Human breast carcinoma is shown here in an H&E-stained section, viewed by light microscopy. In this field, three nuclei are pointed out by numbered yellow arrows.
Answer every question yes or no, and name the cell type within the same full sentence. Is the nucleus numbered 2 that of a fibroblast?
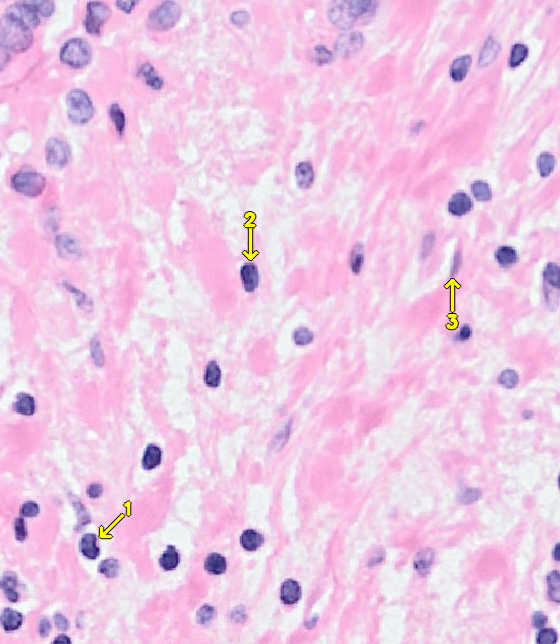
No, cell 2 is not a fibroblast. It is a lymphocyte.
